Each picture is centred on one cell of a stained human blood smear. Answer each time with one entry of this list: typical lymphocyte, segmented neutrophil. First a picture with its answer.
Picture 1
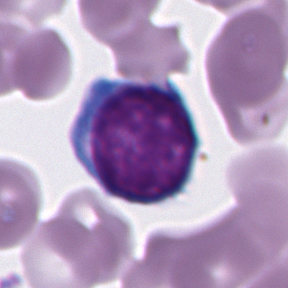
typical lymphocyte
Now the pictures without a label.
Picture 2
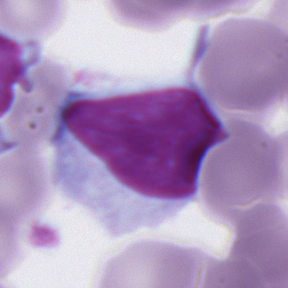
typical lymphocyte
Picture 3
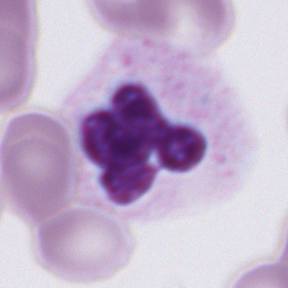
segmented neutrophil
